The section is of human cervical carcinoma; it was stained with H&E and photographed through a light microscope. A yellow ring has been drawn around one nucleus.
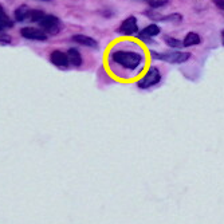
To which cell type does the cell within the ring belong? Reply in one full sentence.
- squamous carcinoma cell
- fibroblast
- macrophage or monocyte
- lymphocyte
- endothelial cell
As a matter of cell type, the cell within the ring is a lymphocyte.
